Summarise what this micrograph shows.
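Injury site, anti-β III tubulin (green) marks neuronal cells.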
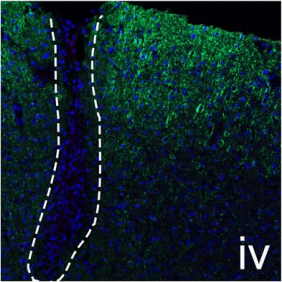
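A narrow vertical track, outlined by a dashed line, runs down from the tissue surface. It is crowded with blue nuclei and almost lacks green, while the tissue on either side is filled with diffuse green staining, brightest near the upper surface. A dark cleft opens at the top of the track, where the surface is broken.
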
